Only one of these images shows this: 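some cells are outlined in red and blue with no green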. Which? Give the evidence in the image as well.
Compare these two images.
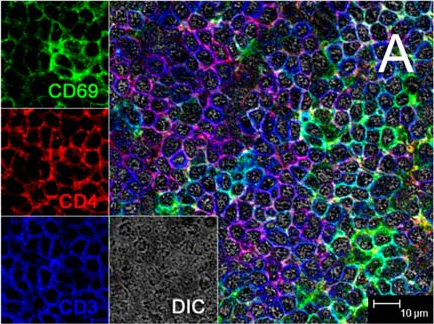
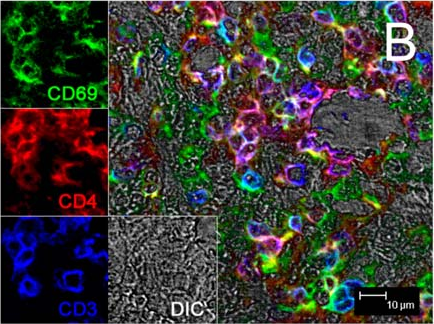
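The first image. First image: several cells are outlined purple-red without green among the packed cells.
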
